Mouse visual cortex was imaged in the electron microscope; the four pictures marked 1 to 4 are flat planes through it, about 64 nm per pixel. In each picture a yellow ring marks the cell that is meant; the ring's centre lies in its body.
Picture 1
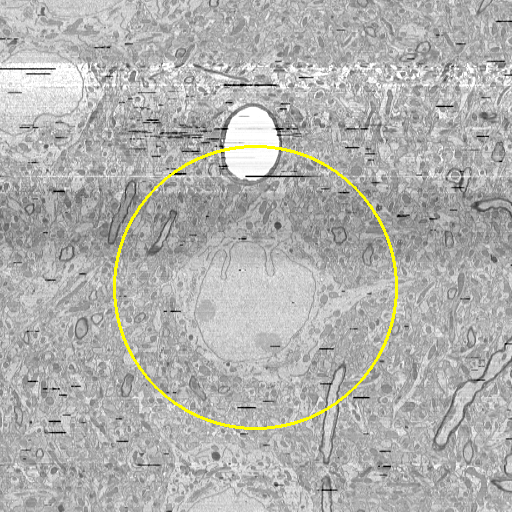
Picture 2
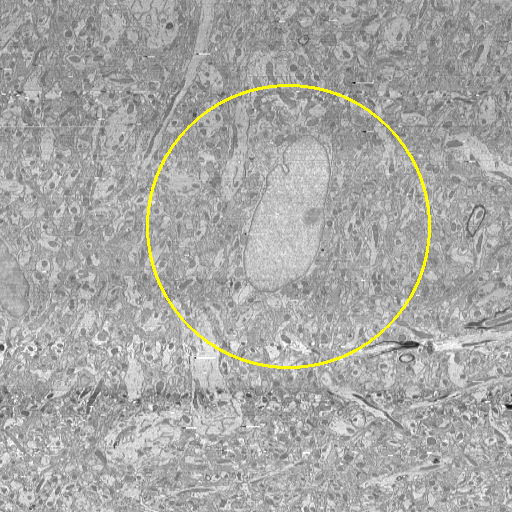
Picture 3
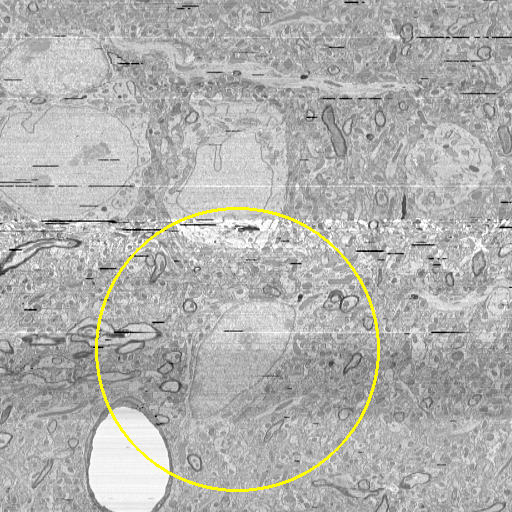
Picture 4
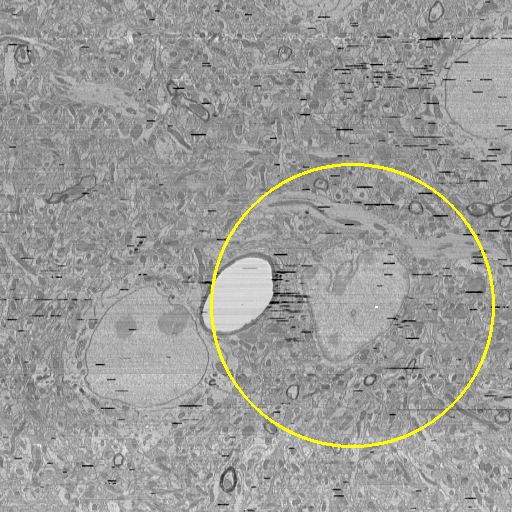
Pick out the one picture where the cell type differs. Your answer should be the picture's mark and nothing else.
1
